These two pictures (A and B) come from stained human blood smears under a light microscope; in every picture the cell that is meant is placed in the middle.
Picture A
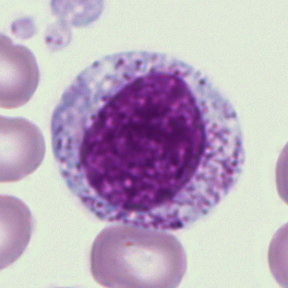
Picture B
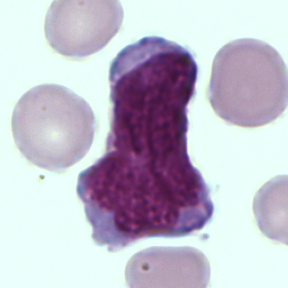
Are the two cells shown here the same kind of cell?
no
